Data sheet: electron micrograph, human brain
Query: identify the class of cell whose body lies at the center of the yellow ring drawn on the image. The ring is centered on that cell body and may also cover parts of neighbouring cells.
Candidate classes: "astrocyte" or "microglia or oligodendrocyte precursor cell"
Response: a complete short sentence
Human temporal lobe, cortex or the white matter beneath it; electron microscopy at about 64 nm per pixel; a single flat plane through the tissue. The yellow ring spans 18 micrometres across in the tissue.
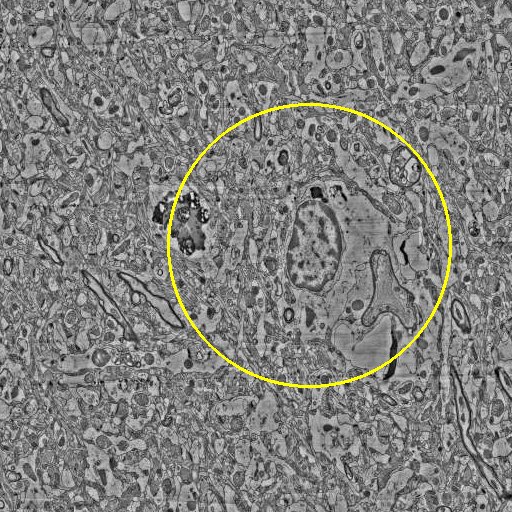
At the center of the ring lies a microglial cell or oligodendrocyte precursor cell.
